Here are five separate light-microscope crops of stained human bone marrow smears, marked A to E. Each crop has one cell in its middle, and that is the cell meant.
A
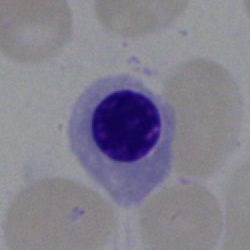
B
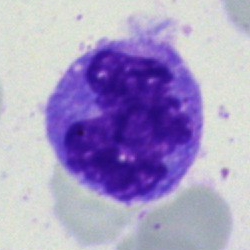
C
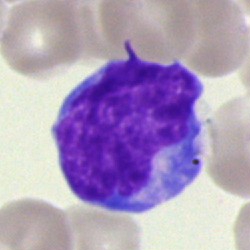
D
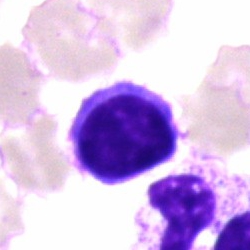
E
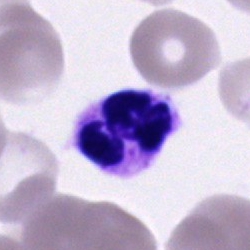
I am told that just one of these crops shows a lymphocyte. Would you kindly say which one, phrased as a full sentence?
Among the crops provided, a lymphocyte occupies the center of crop D.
